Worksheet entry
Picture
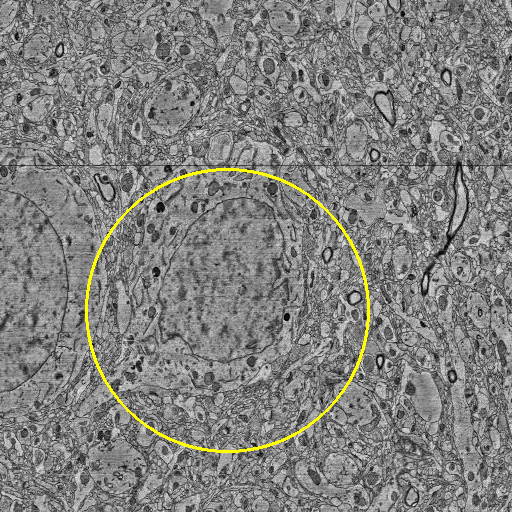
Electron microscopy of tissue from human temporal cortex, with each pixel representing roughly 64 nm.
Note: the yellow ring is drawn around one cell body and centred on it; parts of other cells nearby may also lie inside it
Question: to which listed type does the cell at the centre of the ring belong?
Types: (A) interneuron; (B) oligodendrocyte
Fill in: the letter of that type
A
